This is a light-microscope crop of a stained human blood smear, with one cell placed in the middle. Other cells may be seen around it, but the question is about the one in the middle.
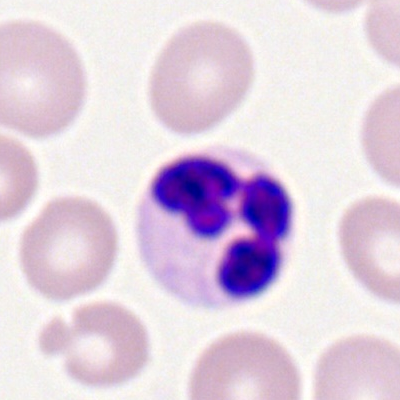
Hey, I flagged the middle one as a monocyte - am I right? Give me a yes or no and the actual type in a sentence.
No, the identification should read a segmented neutrophil, not a monocyte, for the central cell.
